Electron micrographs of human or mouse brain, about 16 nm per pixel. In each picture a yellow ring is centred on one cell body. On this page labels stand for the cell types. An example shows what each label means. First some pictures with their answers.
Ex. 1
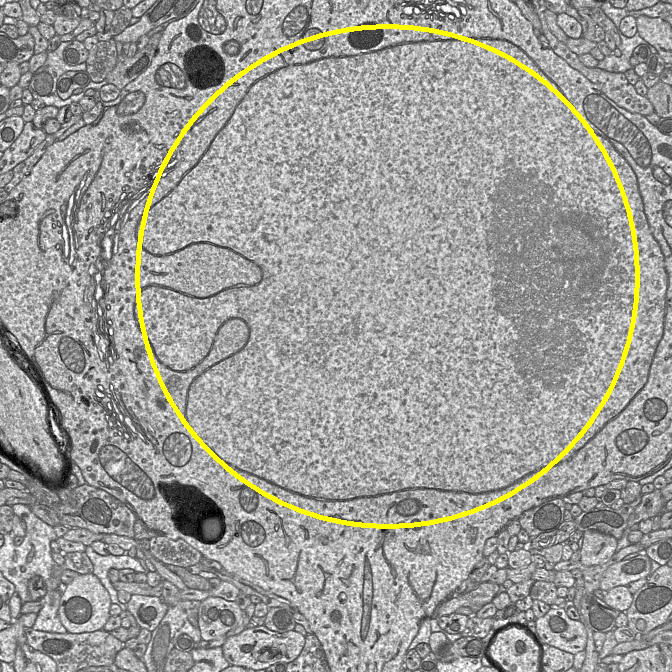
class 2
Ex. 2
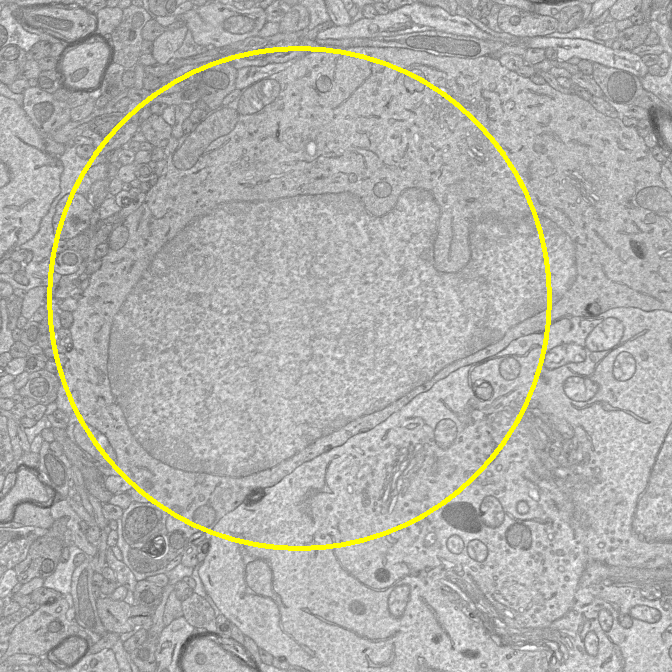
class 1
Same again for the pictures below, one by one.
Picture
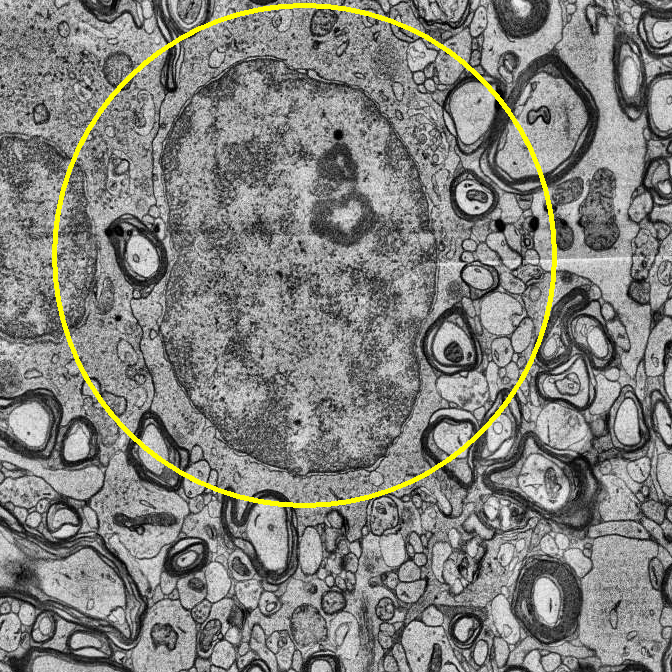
class 1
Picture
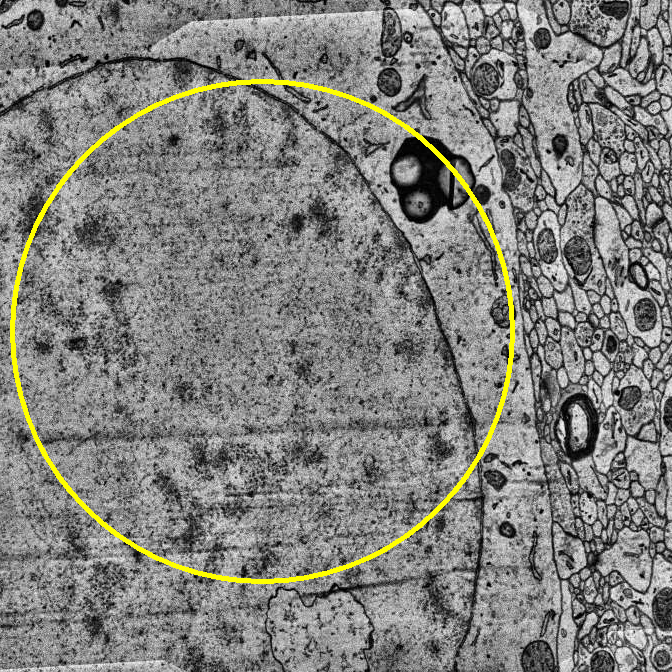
class 2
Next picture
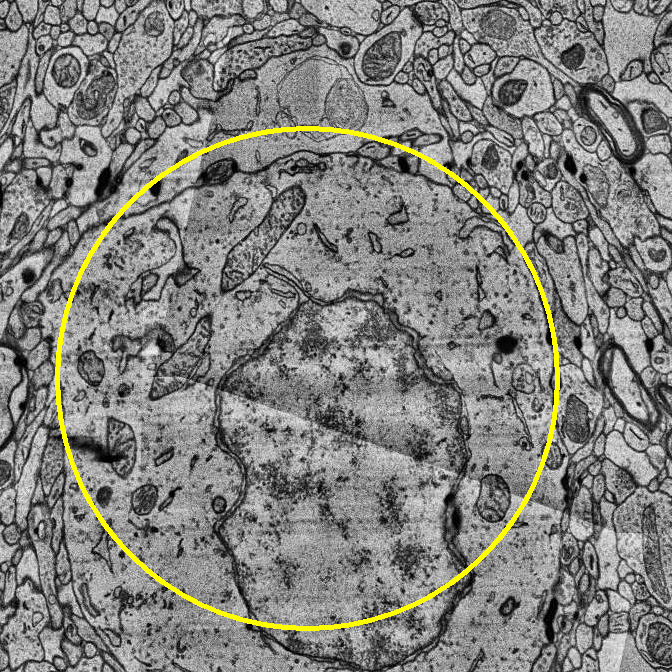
class 2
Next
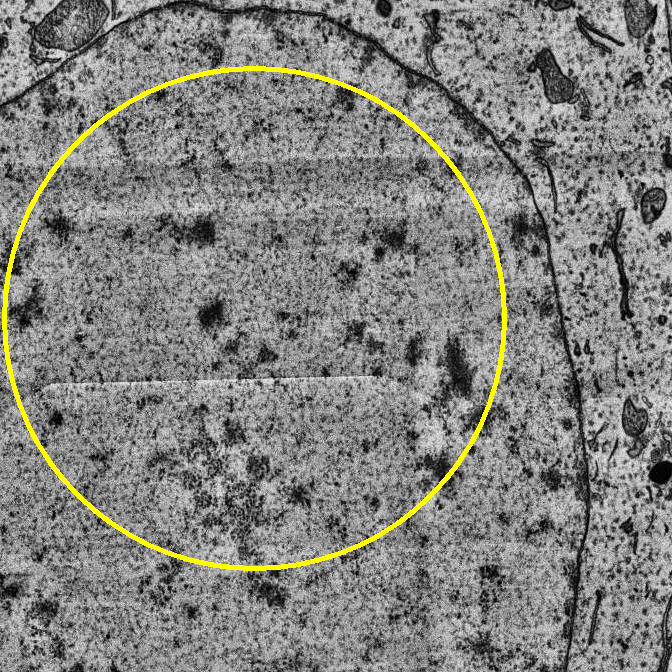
class 2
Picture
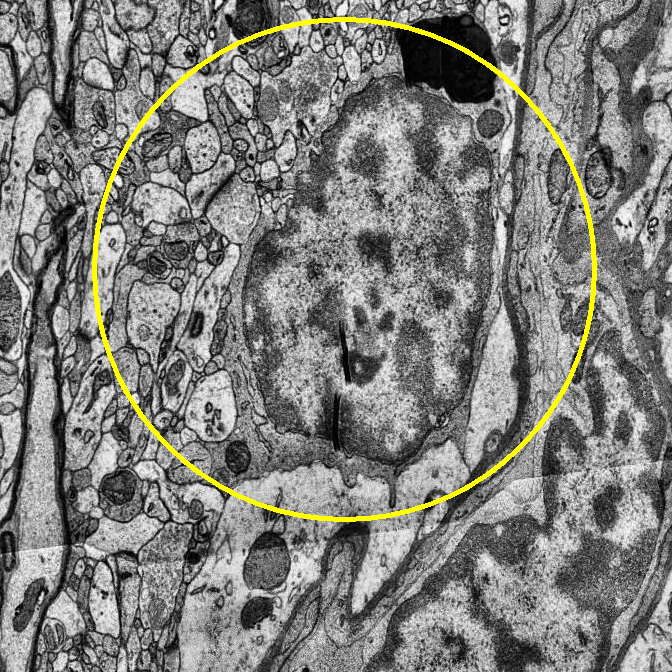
class 1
